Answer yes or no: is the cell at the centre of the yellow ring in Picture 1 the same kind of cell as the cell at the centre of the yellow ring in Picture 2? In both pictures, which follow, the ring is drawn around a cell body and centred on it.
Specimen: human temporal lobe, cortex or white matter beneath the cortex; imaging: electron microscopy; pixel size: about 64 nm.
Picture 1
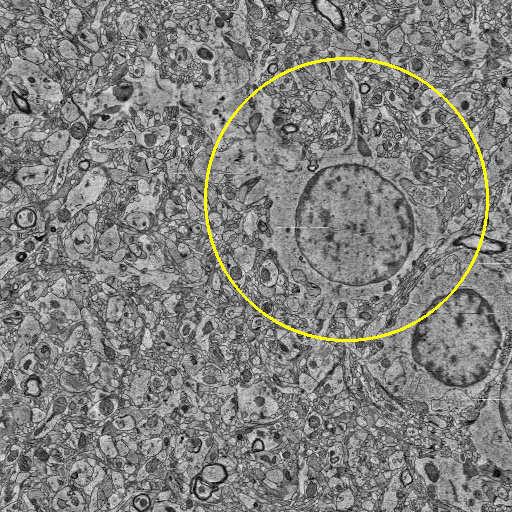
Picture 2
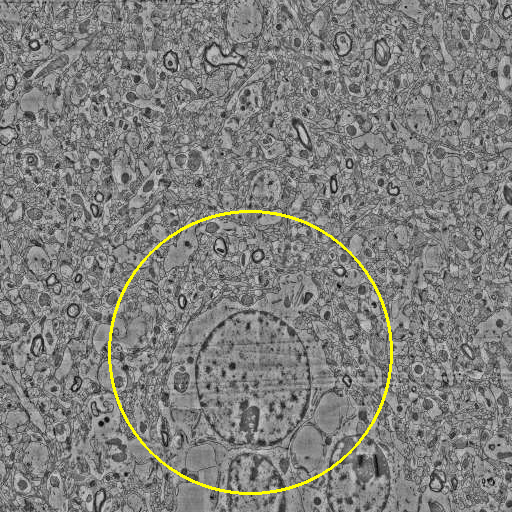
yes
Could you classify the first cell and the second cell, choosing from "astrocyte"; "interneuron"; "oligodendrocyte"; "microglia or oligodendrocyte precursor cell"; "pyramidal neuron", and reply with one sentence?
Both cells are the same kind, each one being an astrocyte.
